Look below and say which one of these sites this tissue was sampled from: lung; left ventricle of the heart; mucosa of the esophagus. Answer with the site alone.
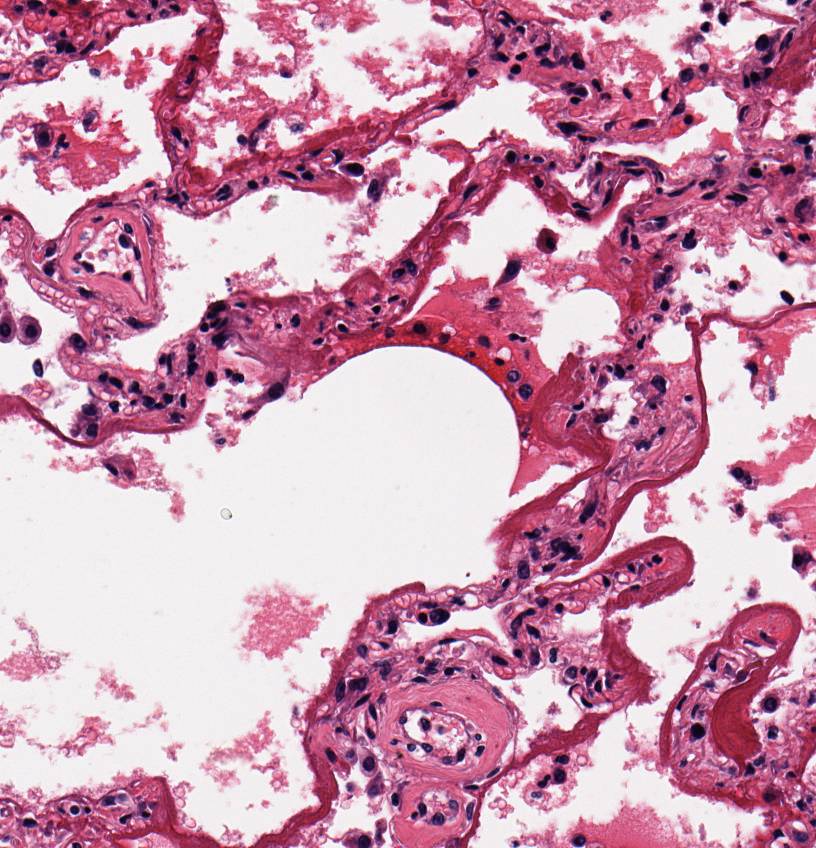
lung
